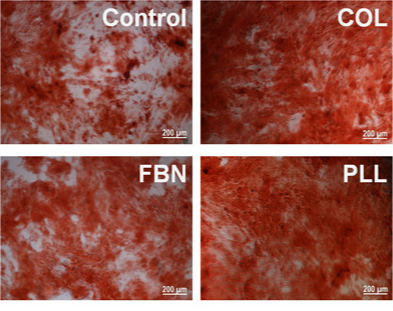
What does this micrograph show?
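Four fields show dense cultures covered by red to orange-red staining, laid down in sheets and fibrous streaks with paler, less stained patches between them. Individual cells are hard to make out; the stain marks the deposits across the layer rather than single cell outlines.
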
